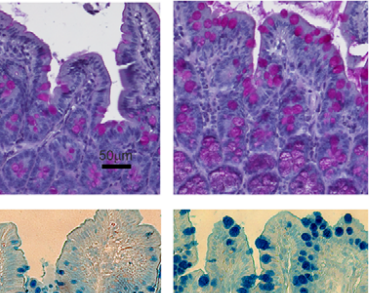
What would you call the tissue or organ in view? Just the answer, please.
Small intestine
